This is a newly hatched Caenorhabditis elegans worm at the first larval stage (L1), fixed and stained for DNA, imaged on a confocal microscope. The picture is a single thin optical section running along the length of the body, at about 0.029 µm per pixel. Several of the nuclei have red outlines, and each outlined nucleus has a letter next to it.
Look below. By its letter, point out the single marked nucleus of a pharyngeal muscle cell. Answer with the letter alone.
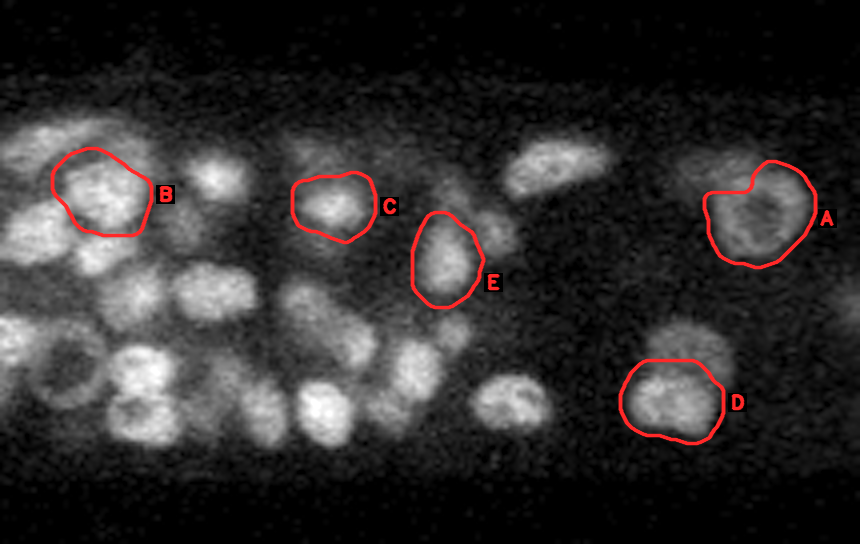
B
